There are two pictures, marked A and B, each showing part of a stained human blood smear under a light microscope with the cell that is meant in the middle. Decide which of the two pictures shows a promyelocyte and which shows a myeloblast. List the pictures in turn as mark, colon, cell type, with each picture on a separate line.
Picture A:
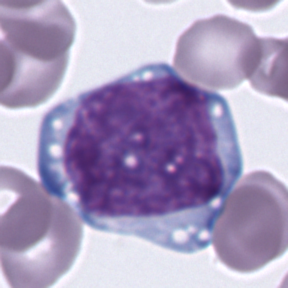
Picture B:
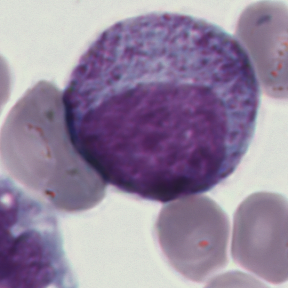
A: myeloblast
B: promyelocyte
